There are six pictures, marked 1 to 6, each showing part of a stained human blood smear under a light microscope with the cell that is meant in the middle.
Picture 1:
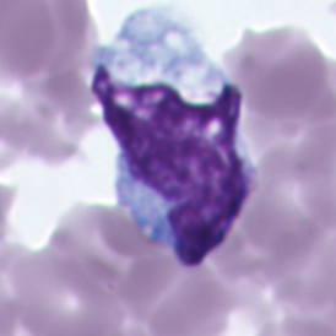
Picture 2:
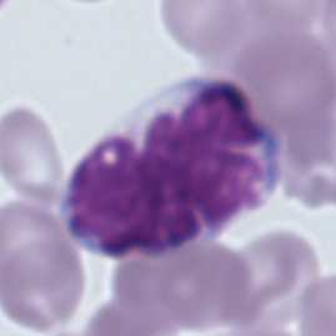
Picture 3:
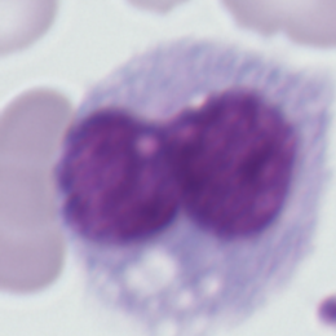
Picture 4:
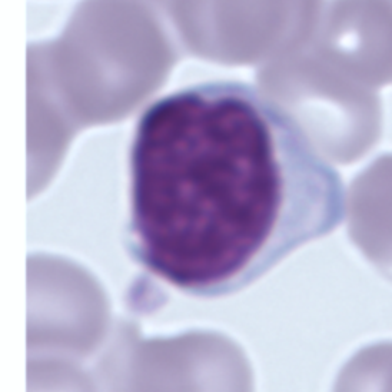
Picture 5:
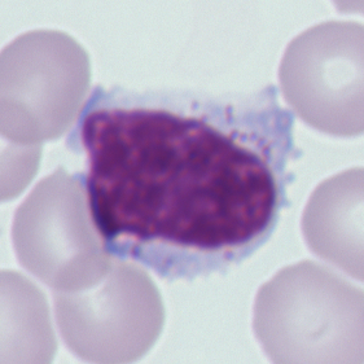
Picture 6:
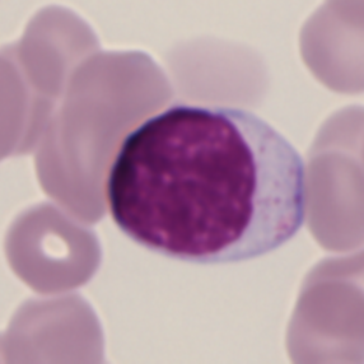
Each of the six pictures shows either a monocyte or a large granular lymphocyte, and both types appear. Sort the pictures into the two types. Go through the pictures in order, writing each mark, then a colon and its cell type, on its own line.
1: monocyte
2: large granular lymphocyte
3: monocyte
4: large granular lymphocyte
5: large granular lymphocyte
6: large granular lymphocyte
